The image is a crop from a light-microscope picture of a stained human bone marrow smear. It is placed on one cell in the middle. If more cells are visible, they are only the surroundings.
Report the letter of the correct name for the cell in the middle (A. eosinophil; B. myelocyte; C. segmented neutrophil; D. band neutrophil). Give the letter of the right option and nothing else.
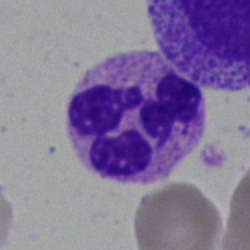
C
